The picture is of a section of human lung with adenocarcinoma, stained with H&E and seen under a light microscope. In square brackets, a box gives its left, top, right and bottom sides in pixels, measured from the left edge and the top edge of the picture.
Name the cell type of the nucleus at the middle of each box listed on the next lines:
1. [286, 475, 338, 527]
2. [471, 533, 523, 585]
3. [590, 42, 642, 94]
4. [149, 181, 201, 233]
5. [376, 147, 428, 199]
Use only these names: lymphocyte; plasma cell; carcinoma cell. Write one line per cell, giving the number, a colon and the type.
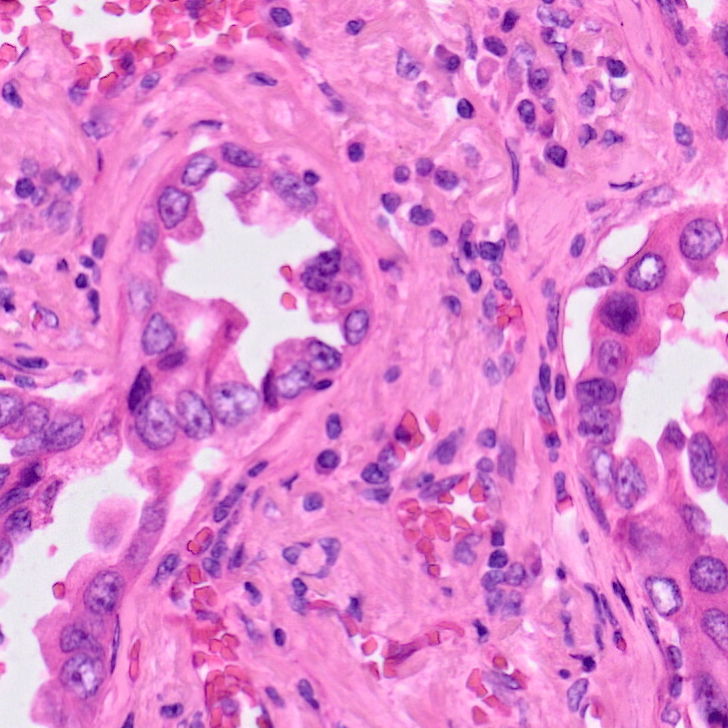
1: lymphocyte
2: lymphocyte
3: plasma cell
4: carcinoma cell
5: lymphocyte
